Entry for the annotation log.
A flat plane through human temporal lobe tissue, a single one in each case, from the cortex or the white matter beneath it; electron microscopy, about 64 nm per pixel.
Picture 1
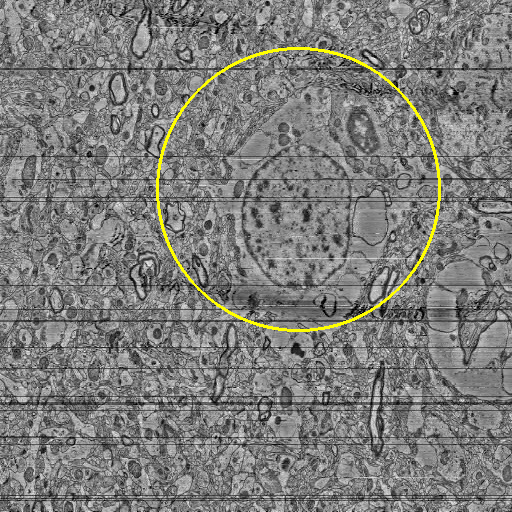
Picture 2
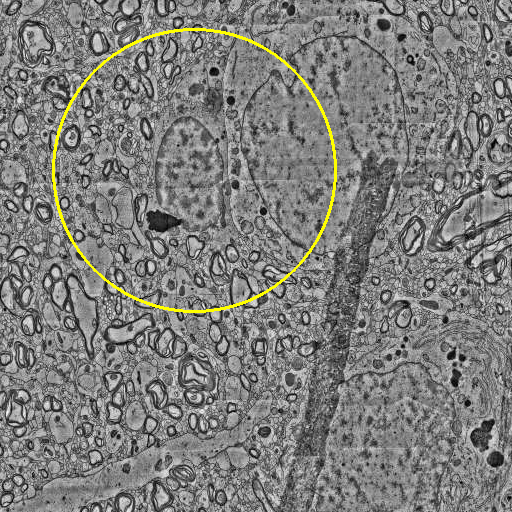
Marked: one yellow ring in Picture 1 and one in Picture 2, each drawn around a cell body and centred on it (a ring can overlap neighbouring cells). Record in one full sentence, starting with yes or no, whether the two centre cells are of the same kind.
No, the two cells are of two kinds.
